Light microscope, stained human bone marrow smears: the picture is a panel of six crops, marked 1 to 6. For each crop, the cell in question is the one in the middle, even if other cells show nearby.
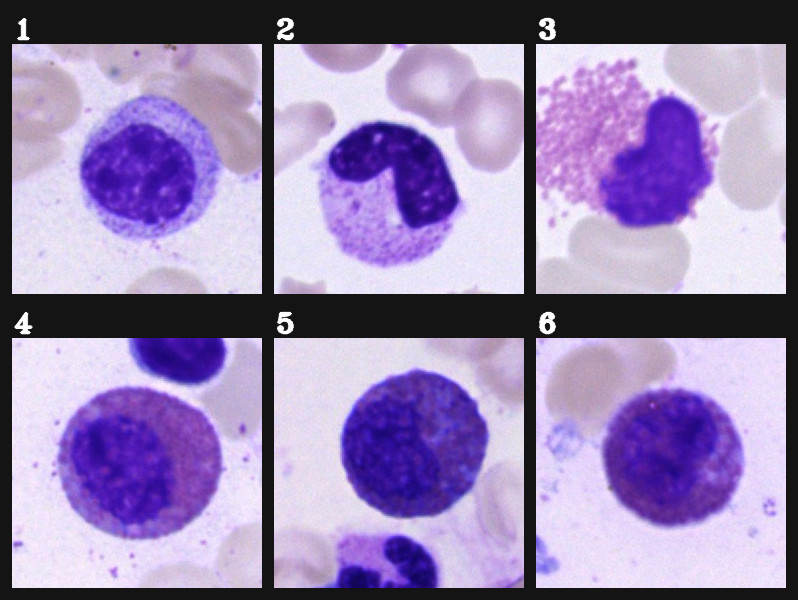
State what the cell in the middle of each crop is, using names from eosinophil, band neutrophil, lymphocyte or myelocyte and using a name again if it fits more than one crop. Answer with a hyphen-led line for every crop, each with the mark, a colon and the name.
- 1: myelocyte
- 2: band neutrophil
- 3: eosinophil
- 4: eosinophil
- 5: eosinophil
- 6: eosinophil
